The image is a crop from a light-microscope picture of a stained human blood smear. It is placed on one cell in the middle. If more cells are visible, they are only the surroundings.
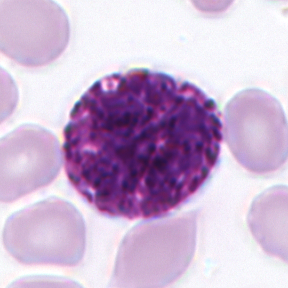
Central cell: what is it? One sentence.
The cell in the middle of the field of view is a basophil.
